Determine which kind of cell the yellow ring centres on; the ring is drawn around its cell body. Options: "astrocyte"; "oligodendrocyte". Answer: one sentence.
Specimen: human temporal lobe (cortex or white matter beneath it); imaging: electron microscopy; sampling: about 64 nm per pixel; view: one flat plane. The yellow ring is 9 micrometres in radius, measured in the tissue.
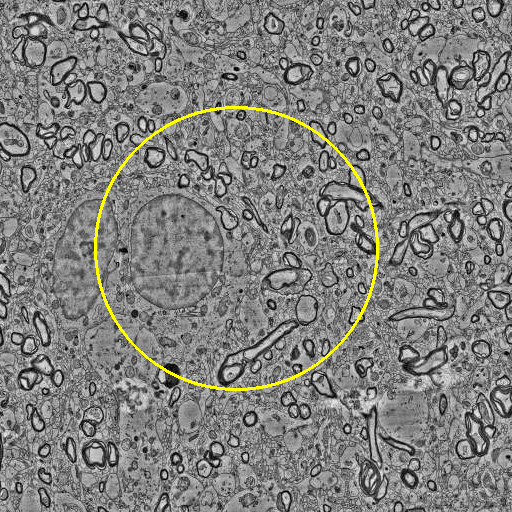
The ring centres on an oligodendrocyte.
